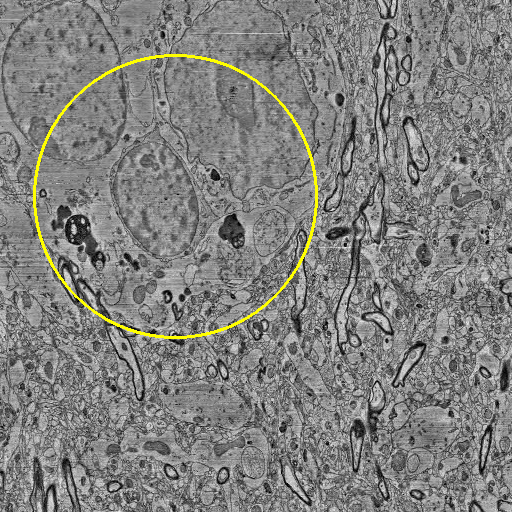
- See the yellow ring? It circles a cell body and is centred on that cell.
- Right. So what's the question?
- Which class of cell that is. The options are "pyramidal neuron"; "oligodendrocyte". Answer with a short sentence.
The centre of the ring holds an oligodendrocyte.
